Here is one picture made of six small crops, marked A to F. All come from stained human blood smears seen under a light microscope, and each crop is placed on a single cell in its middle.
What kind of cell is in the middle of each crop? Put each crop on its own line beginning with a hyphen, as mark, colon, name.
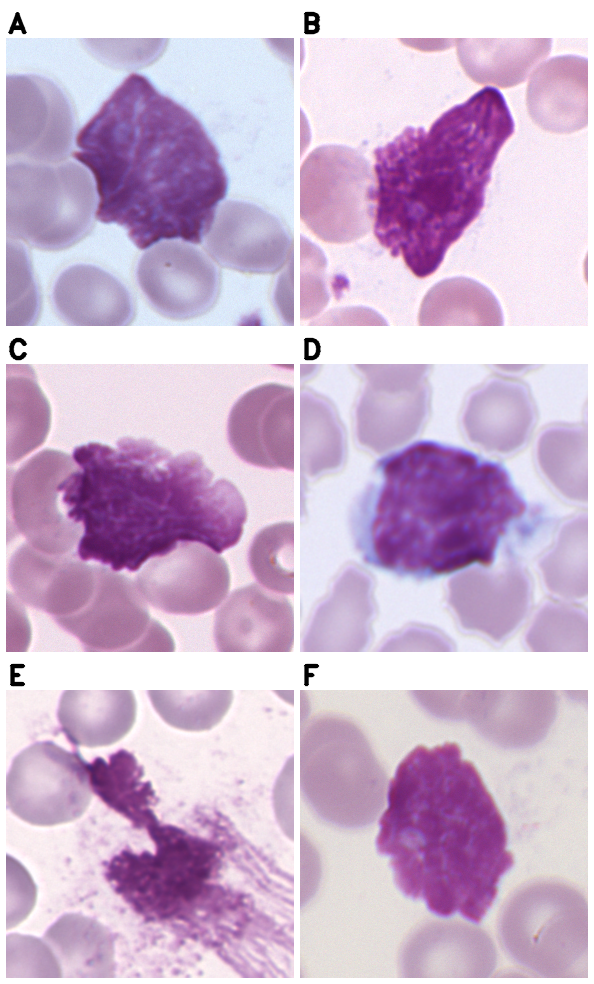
- A: smudge cell
- B: smudge cell
- C: smudge cell
- D: typical lymphocyte
- E: smudge cell
- F: smudge cell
